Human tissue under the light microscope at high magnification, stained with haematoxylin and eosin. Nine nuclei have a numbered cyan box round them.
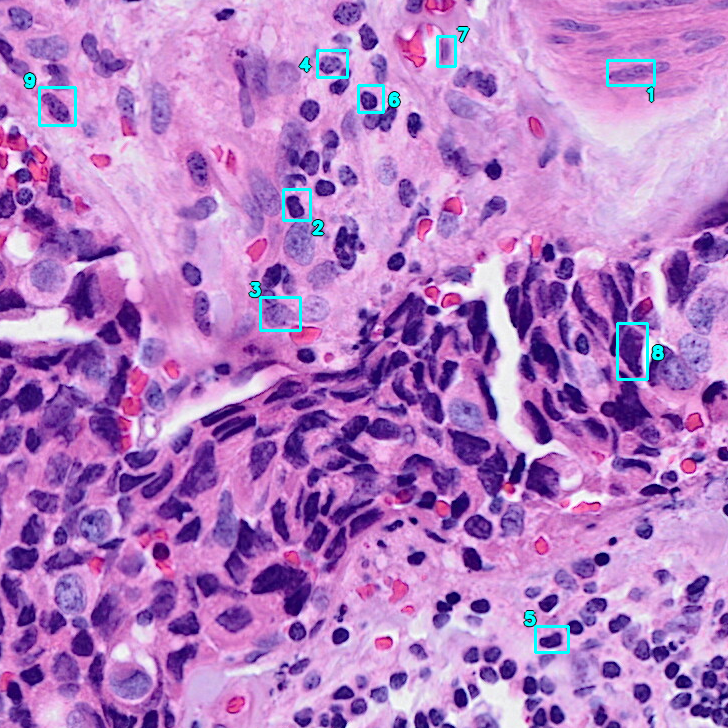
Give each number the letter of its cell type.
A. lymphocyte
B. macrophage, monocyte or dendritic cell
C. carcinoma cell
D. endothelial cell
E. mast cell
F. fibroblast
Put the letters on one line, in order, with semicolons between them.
D; A; D; A; A; A; D; C; E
